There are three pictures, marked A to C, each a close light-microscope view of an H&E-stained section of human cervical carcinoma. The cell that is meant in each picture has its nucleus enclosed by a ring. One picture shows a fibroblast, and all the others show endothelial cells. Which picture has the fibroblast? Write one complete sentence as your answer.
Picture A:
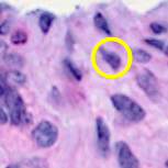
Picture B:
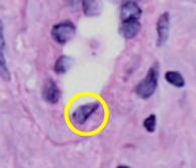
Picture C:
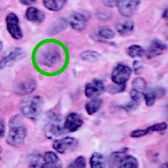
It is picture A that shows the fibroblast.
